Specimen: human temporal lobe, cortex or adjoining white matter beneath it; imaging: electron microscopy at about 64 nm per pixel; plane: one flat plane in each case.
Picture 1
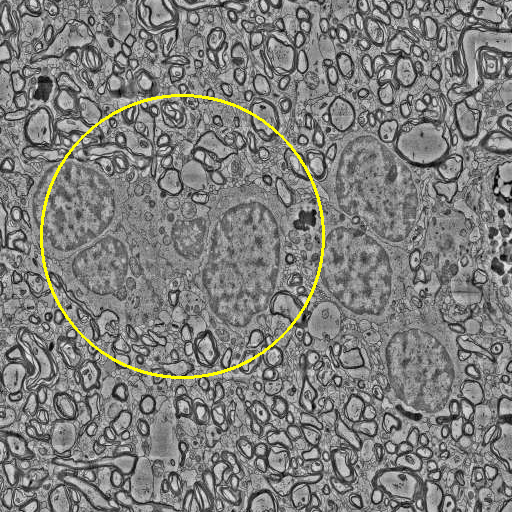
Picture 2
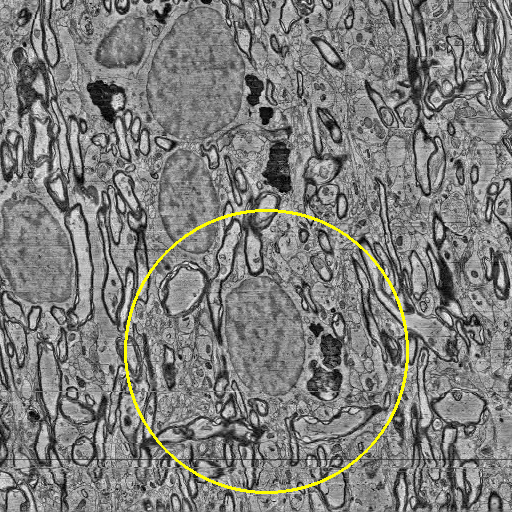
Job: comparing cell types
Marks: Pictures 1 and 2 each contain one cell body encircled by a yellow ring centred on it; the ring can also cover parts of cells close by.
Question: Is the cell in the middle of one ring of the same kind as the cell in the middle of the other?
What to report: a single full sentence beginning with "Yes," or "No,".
Yes, the cell at the ring centre in Picture 1 and its partner in Picture 2 are of one kind.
